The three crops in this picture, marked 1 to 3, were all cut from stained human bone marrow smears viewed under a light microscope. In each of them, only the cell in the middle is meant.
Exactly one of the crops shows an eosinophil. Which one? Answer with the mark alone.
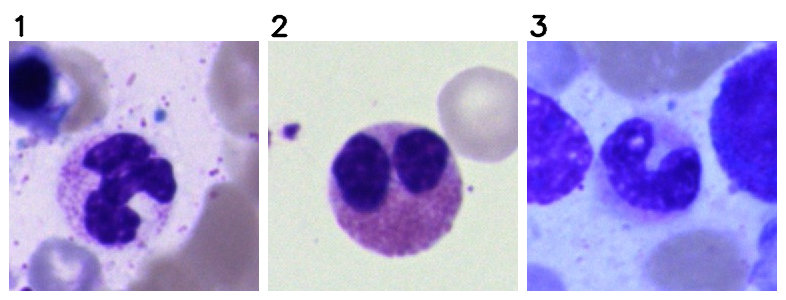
2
